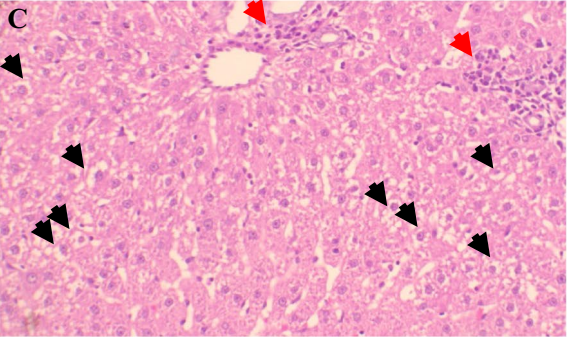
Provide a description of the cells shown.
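This is liver tissue with cords of hepatocytes running towards a central vessel, many of them showing vacuolar degeneration. Much of the hepatocyte cytoplasm is pale and finely bubbly rather than evenly pink, while the round purple nuclei remain in the cell centres. Between the cords the narrow spaces appear as widened white clefts. Near the upper edge, beside small vessels, dense clusters of small cells with dark round nuclei form inflammatory cellular infiltrates.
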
